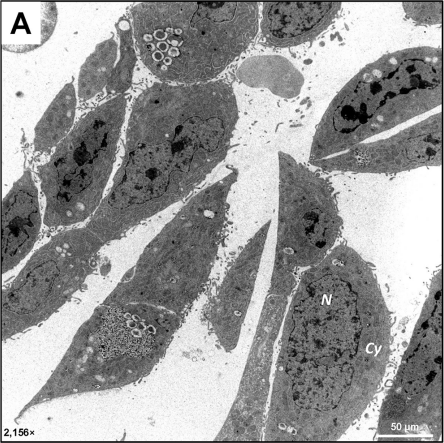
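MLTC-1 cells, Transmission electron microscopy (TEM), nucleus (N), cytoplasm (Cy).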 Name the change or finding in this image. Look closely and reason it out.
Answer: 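Some cells are long and spindle-like, others rounded or angular. Cells vary in size and outline across the field. The answer: heterogeneous appearance (polygonal, rounded or elongated shape).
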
